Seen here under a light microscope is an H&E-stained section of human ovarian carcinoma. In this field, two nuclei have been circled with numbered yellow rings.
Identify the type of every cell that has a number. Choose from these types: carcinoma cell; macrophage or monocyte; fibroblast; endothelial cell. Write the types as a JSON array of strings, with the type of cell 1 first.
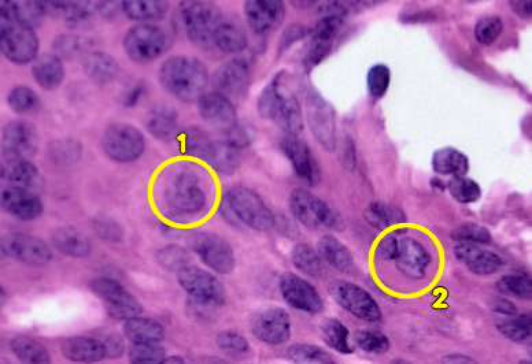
["carcinoma cell", "endothelial cell"]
